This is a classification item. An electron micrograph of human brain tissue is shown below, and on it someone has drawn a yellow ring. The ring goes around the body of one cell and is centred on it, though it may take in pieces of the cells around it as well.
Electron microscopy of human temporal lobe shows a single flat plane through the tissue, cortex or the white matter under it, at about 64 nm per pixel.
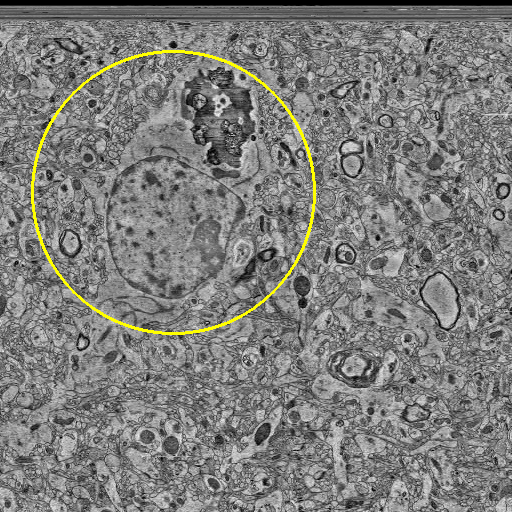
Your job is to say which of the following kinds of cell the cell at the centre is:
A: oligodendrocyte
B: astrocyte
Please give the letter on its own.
B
